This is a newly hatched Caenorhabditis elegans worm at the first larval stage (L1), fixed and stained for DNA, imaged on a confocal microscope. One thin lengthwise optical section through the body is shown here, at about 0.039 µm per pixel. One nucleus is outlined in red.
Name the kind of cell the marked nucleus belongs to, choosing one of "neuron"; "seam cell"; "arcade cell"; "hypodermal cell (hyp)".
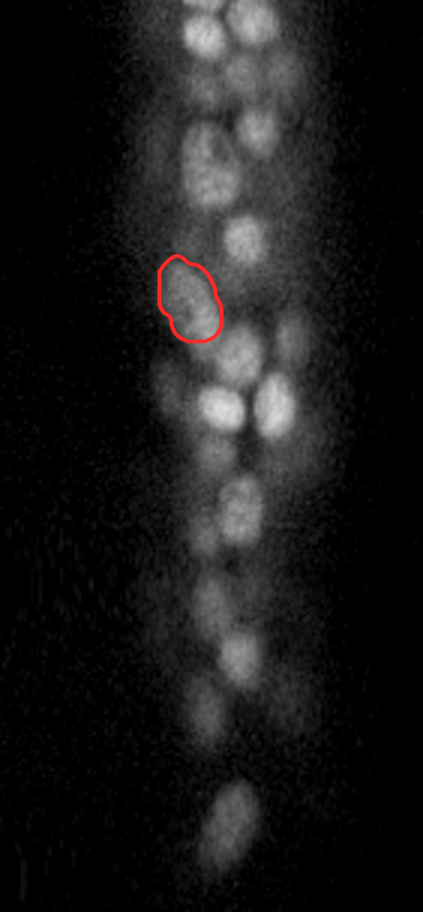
hypodermal cell (hyp)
